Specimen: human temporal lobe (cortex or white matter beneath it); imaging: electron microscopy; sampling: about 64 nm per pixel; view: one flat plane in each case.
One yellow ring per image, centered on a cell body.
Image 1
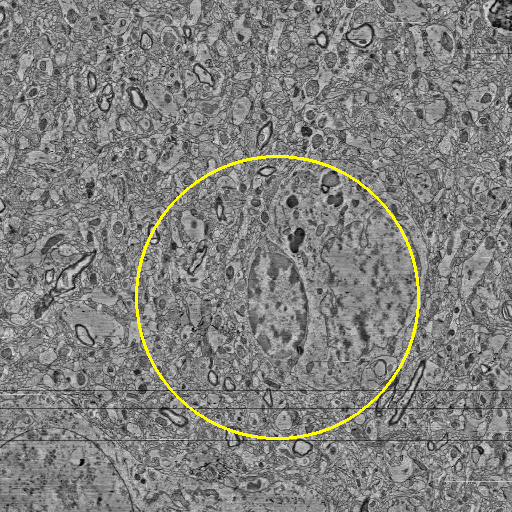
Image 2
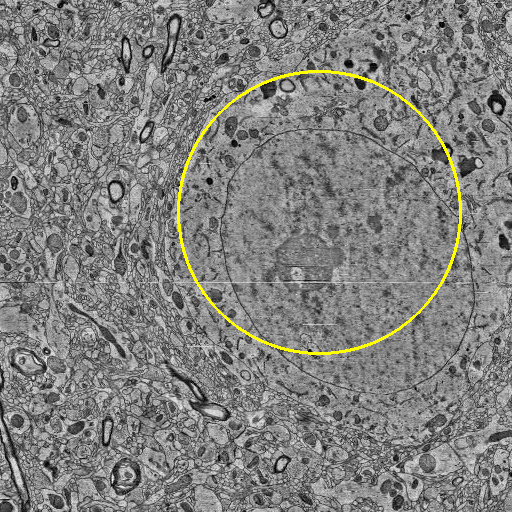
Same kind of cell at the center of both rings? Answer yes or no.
no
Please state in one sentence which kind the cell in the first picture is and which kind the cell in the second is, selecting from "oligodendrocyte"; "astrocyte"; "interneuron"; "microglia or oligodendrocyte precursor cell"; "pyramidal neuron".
The first ringed cell is an oligodendrocyte, the second ringed cell a pyramidal neuron.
